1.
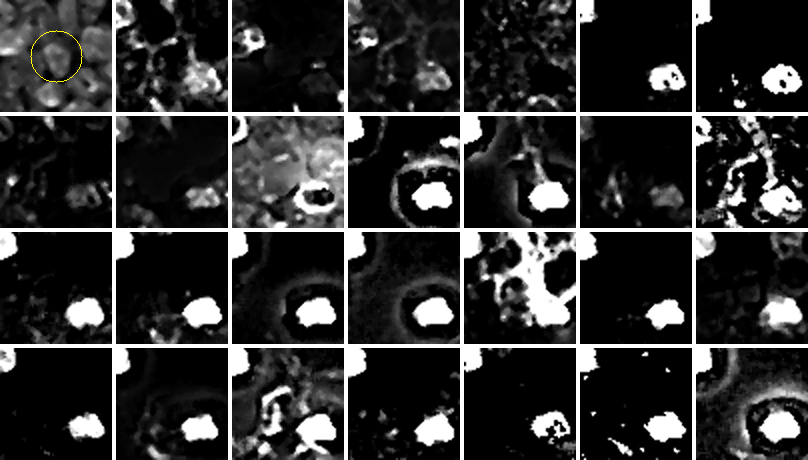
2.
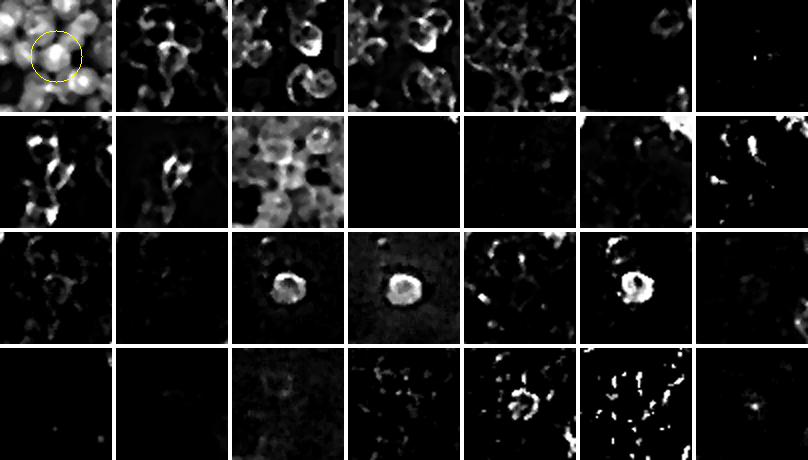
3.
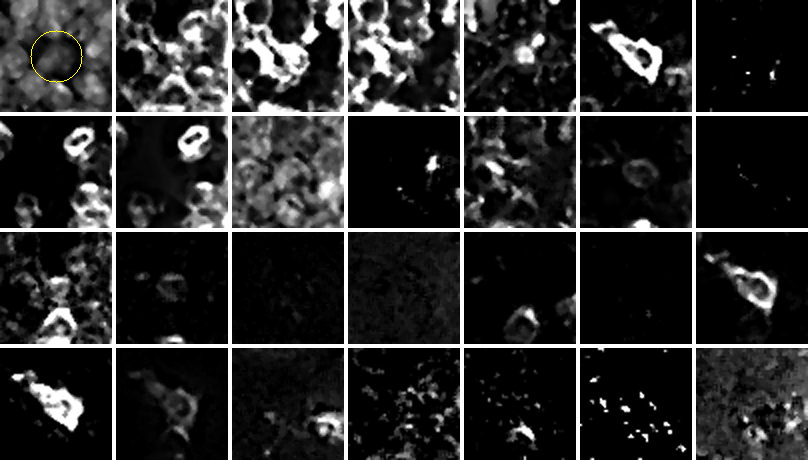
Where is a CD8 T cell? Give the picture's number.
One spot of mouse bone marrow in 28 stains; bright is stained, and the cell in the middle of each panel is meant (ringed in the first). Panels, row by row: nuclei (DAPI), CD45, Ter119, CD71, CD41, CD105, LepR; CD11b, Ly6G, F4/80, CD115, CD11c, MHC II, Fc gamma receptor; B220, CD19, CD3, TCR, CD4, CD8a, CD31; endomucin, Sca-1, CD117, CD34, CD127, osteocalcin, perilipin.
2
